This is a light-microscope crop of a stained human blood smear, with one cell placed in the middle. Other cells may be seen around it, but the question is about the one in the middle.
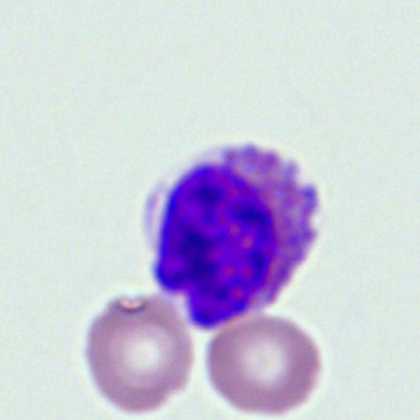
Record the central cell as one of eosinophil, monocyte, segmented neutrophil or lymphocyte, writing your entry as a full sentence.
The single cell at the center of the crop is an eosinophil.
